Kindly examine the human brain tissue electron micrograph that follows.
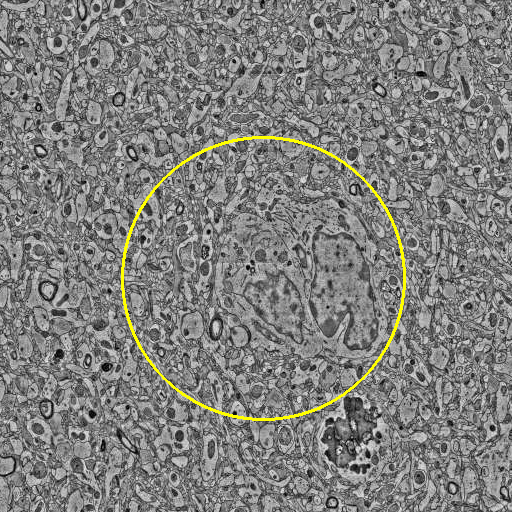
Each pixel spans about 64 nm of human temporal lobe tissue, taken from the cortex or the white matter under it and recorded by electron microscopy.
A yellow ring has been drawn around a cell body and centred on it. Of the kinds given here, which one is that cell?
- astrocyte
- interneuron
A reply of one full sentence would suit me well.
The micrograph's ringed cell, the one at the ring's centre, is an interneuron.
